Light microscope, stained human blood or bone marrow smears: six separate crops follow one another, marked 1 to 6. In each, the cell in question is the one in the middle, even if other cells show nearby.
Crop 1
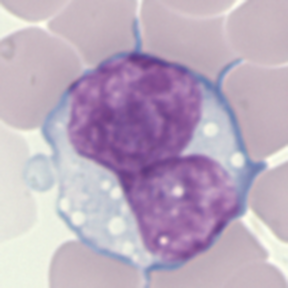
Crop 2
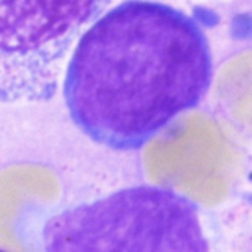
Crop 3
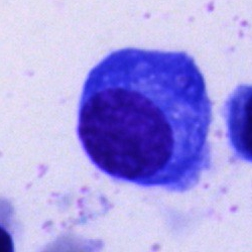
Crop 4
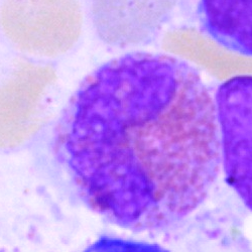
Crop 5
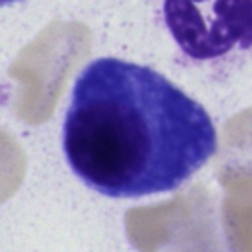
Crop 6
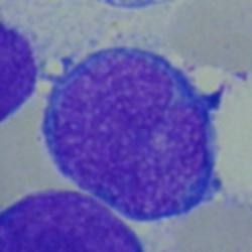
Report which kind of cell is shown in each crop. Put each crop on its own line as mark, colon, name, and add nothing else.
1: blast
2: blast
3: plasma cell
4: eosinophil
5: plasma cell
6: blast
